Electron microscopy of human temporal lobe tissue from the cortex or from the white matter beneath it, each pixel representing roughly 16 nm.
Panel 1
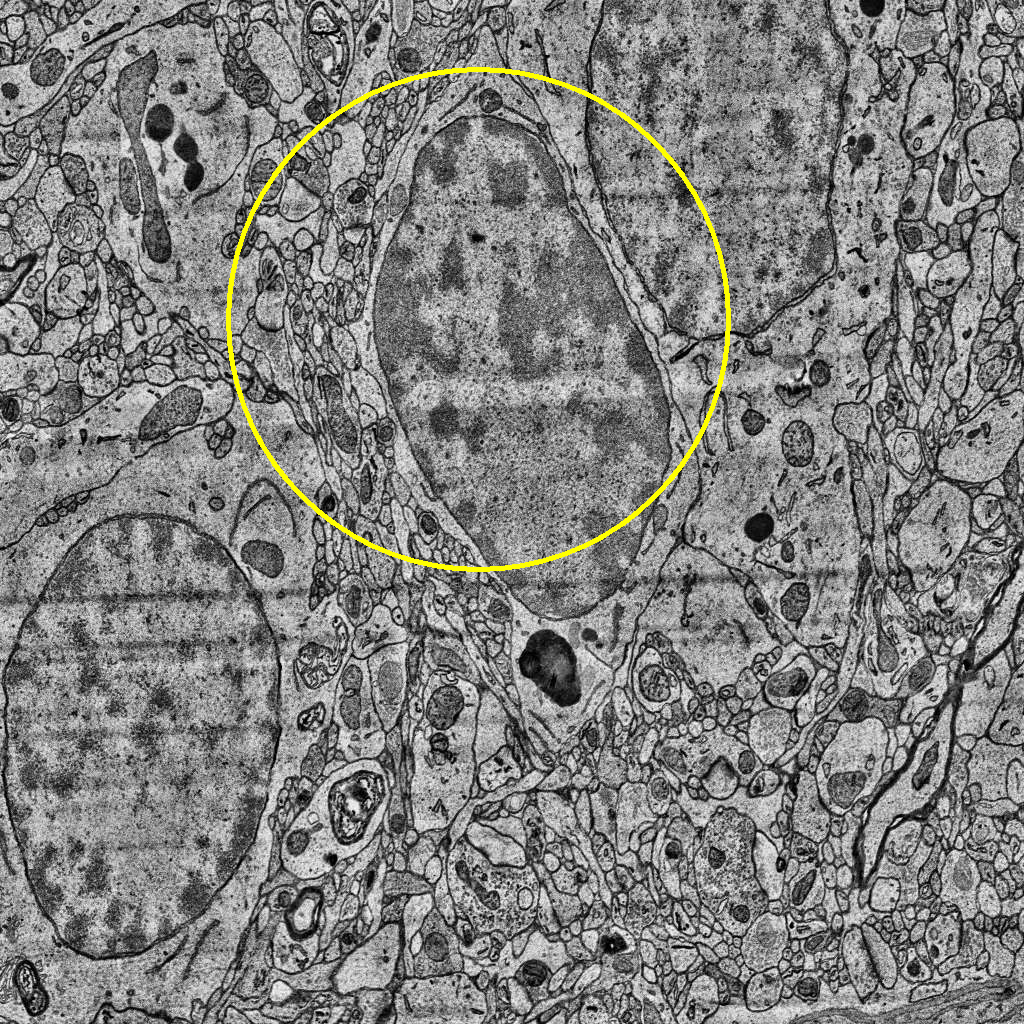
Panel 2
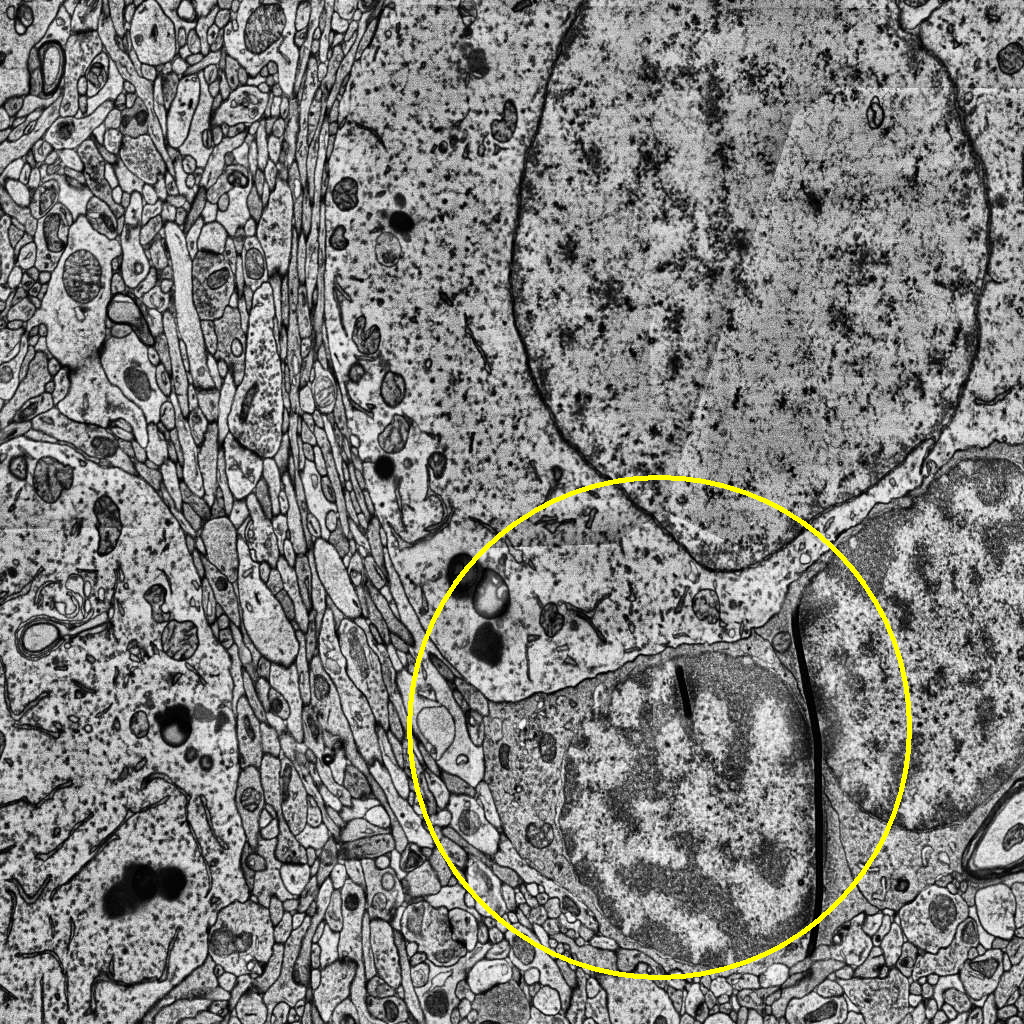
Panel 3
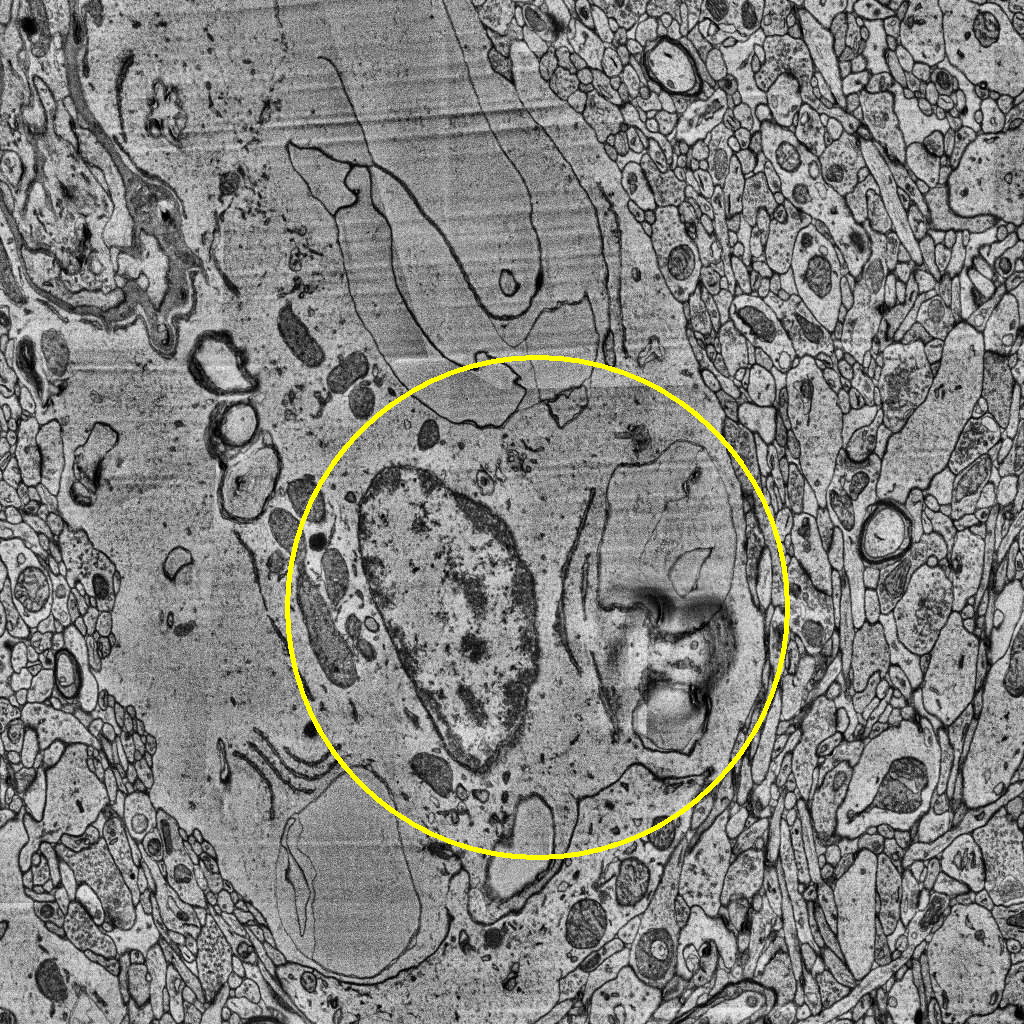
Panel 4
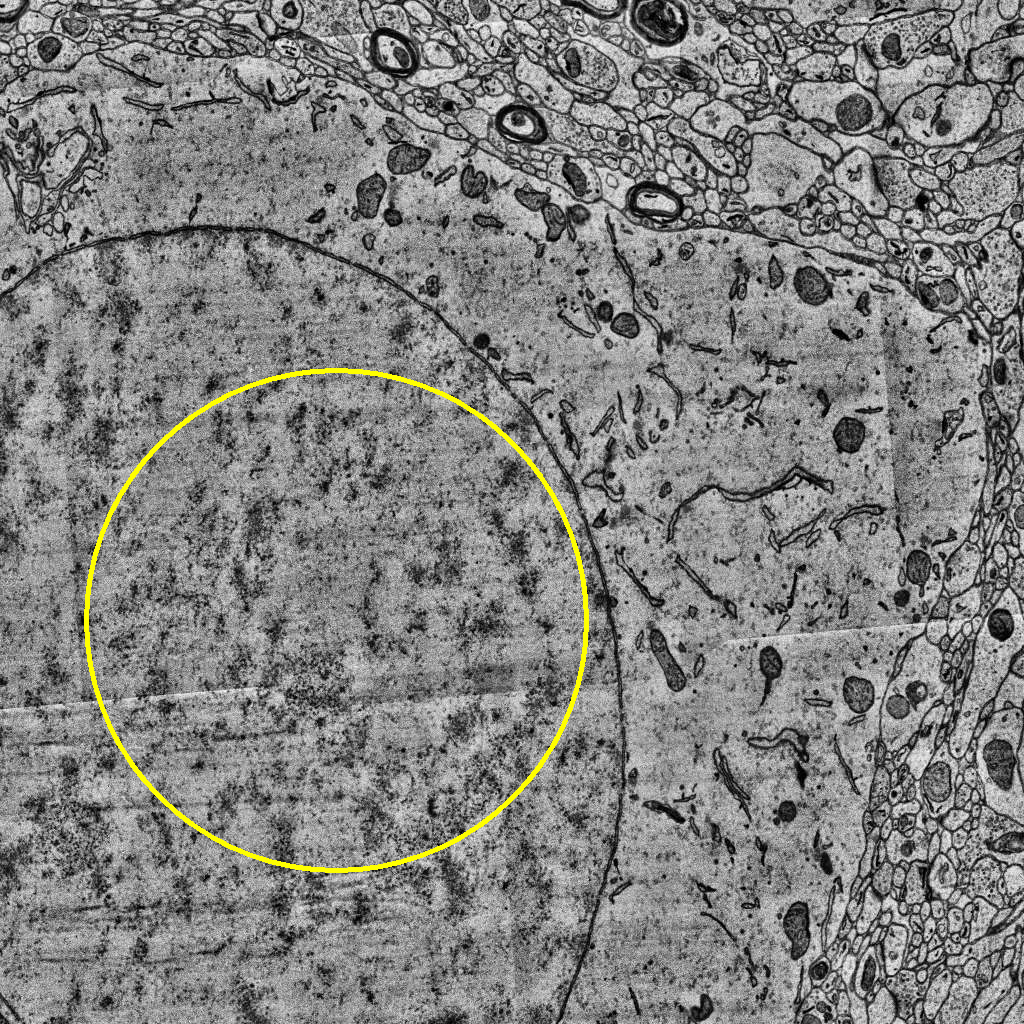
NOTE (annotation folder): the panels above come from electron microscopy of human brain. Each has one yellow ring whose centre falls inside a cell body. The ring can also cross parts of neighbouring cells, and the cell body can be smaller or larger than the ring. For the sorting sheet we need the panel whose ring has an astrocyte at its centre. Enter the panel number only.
3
